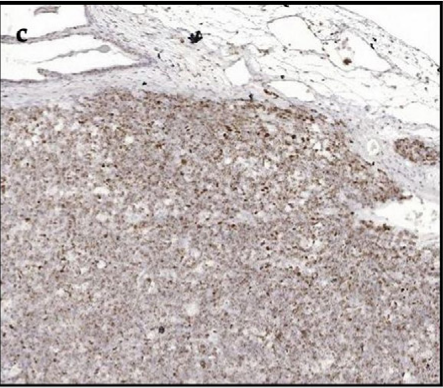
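The sheet fills most of the field and has no lumens or orderly arrangement of cells. Fine brown granular staining is spread diffusely through the sheet. Along the upper edge lies looser, paler fibrous and fatty tissue, with a few vessels, sharply set off from the dense cellular mass.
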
